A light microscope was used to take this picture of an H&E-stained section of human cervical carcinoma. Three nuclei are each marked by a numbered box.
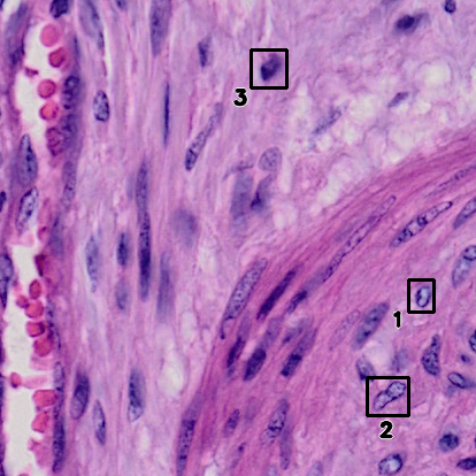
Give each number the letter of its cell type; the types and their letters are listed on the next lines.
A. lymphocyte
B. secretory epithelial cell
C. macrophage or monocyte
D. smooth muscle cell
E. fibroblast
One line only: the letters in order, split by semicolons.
D; D; A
